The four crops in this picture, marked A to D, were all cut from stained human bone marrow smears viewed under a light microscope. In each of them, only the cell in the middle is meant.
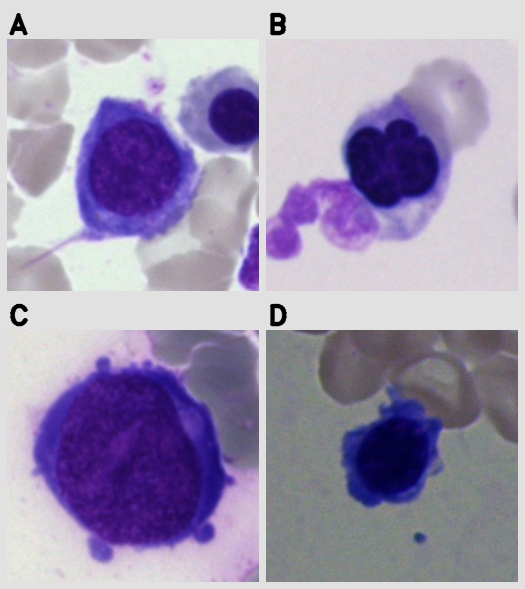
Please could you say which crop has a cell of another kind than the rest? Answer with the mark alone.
C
